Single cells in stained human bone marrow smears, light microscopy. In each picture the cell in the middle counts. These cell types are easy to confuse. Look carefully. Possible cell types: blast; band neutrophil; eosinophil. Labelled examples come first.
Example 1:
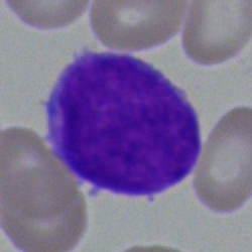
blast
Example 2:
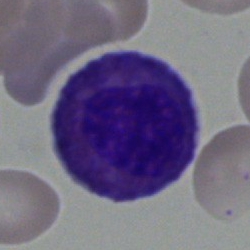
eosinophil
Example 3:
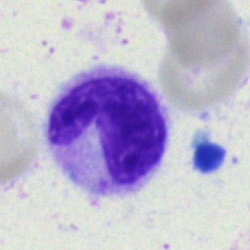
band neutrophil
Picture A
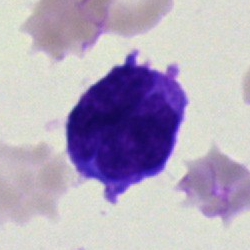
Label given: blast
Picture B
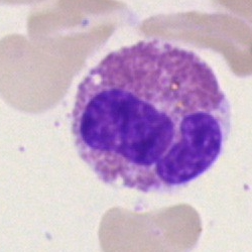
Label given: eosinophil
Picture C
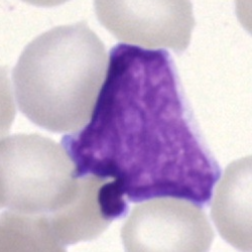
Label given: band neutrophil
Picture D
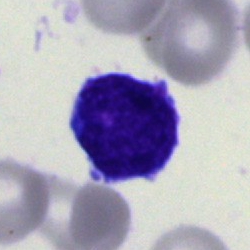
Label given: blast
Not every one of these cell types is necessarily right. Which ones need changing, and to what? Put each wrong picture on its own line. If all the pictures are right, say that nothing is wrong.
C: blast, not band neutrophil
